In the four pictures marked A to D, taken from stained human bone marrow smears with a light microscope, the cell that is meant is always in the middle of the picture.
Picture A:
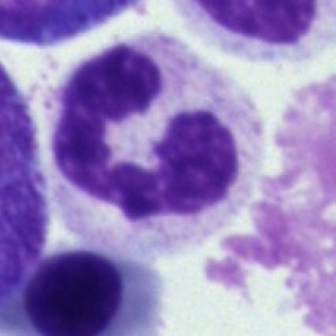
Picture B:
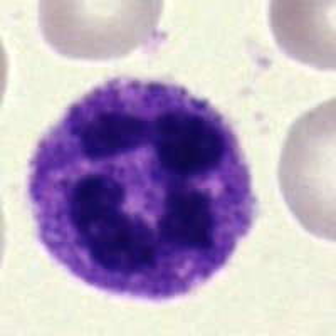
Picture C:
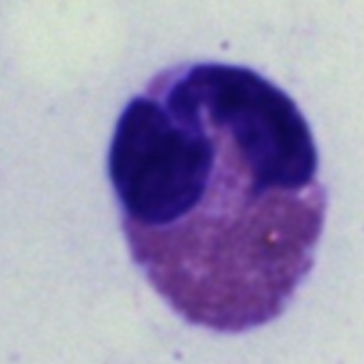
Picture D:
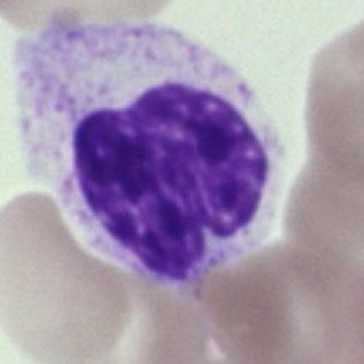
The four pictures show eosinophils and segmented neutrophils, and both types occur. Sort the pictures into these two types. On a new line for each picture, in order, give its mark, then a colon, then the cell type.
A: segmented neutrophil
B: segmented neutrophil
C: eosinophil
D: segmented neutrophil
